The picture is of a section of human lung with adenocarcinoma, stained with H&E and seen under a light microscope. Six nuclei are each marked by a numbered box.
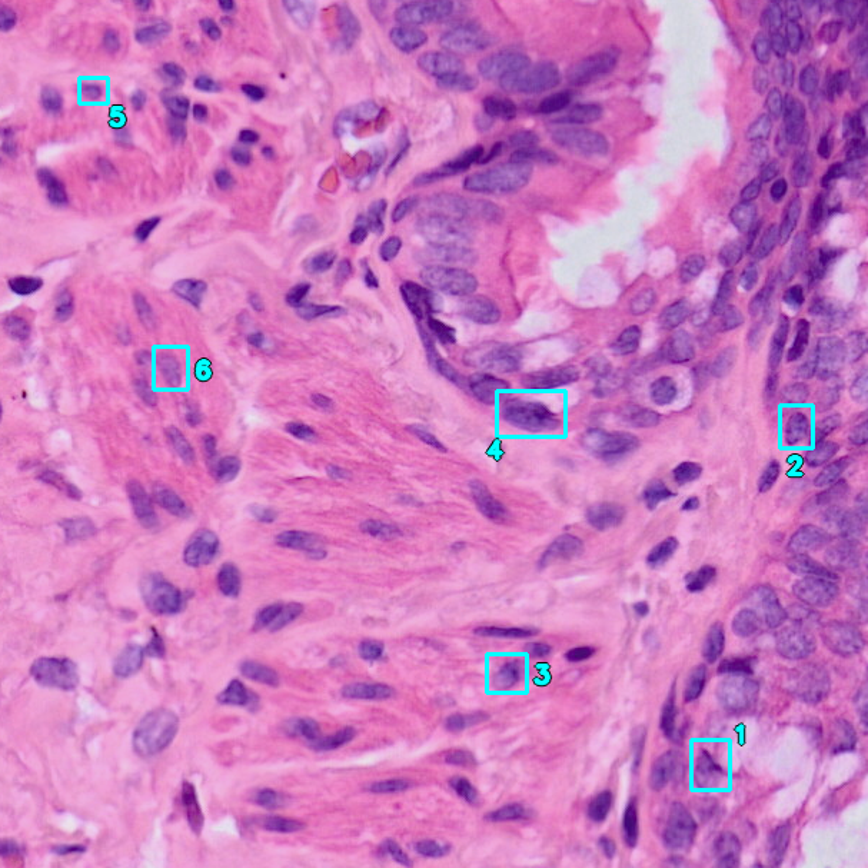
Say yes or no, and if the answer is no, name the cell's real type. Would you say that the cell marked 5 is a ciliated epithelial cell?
No, it is a smooth muscle cell or pericyte.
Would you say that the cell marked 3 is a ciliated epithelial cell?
No, it is a smooth muscle cell or pericyte.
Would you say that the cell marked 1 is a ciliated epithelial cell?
Yes.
